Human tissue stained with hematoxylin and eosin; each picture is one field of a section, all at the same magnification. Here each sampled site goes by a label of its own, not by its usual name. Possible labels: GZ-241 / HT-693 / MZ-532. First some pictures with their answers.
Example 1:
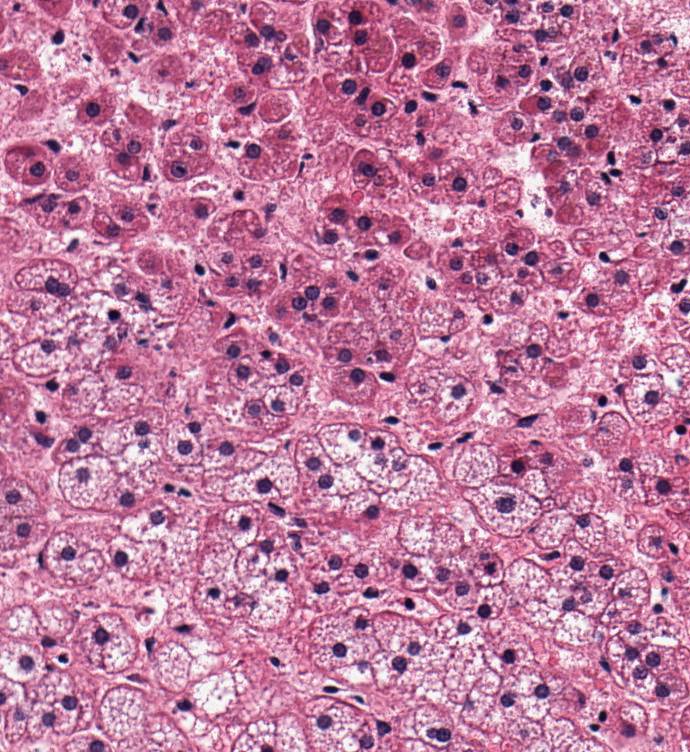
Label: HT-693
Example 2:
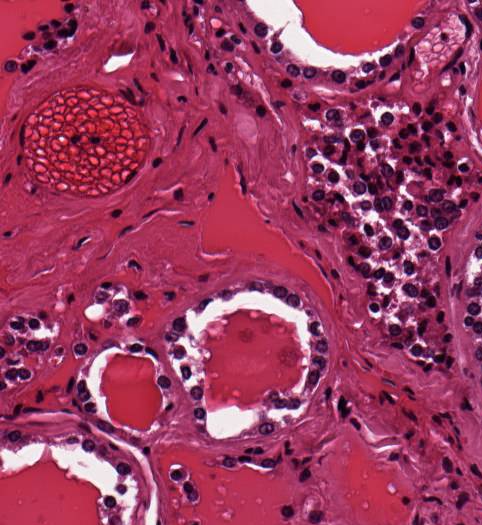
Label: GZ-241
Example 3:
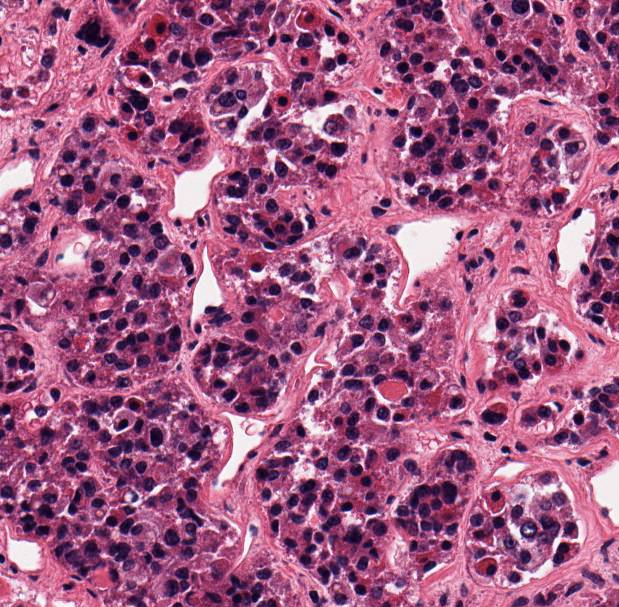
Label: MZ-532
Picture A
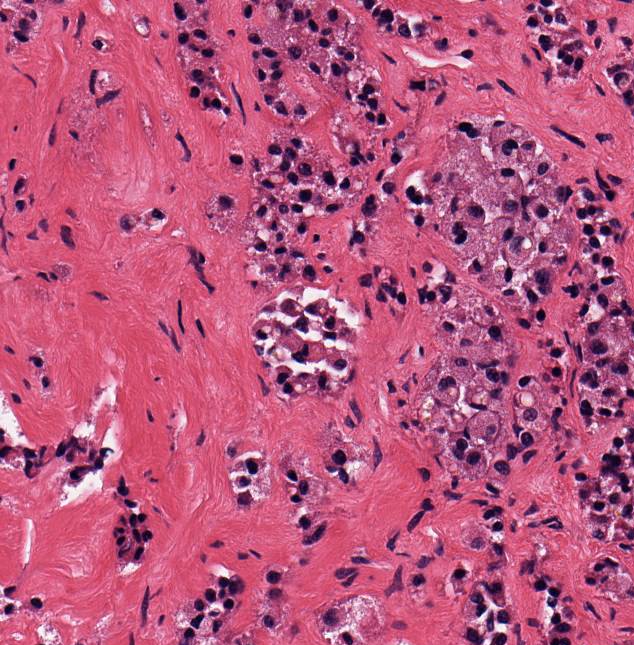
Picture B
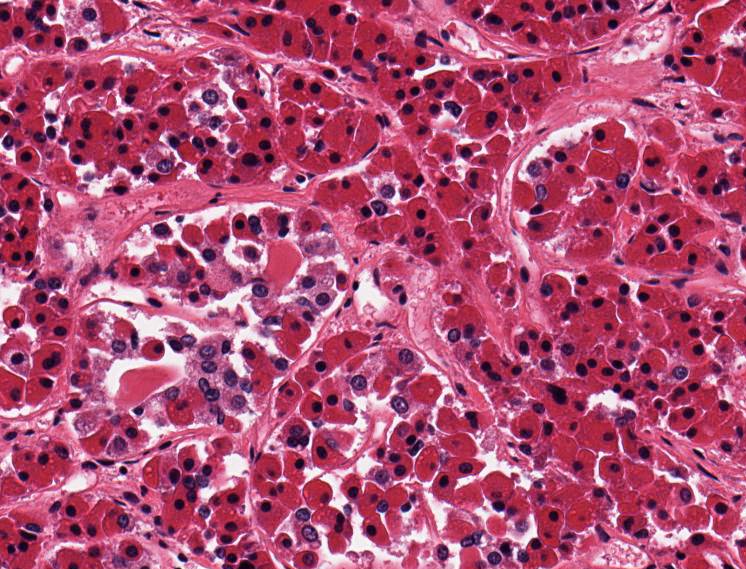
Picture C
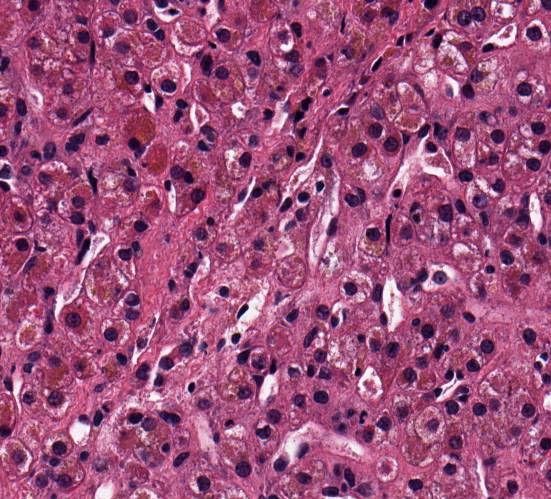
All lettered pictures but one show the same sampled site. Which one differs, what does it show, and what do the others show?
Exception: C, showing HT-693. Remaining pictures: MZ-532.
